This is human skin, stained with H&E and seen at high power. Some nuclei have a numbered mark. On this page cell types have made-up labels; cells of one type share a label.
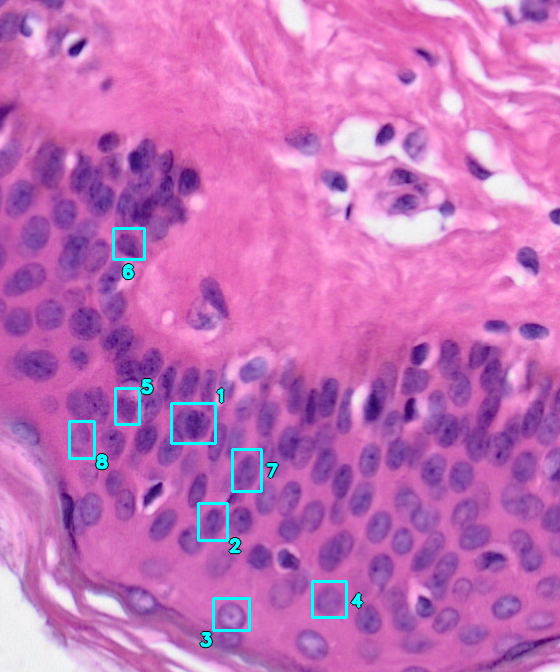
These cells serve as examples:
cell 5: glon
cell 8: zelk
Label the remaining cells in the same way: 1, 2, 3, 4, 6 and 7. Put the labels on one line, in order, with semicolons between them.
glon; zelk; zelk; zelk; glon; zelk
